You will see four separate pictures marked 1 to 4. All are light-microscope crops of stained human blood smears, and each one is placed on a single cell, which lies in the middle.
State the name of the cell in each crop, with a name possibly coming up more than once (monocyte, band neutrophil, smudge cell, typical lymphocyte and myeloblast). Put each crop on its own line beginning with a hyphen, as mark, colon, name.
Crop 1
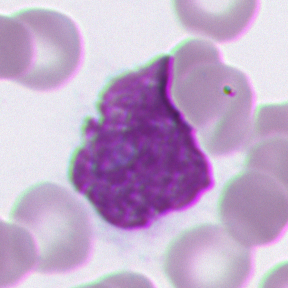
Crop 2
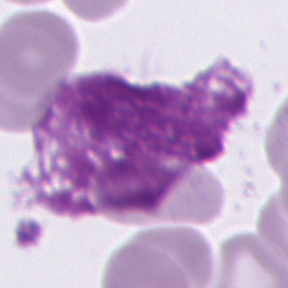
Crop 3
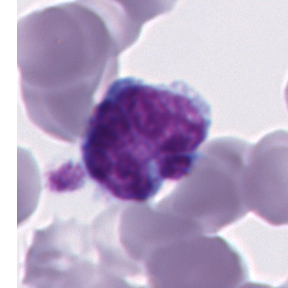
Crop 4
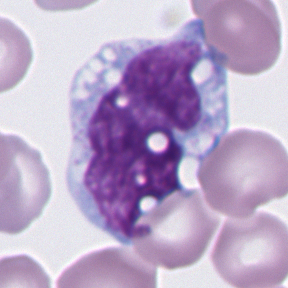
- 1: smudge cell
- 2: smudge cell
- 3: typical lymphocyte
- 4: monocyte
